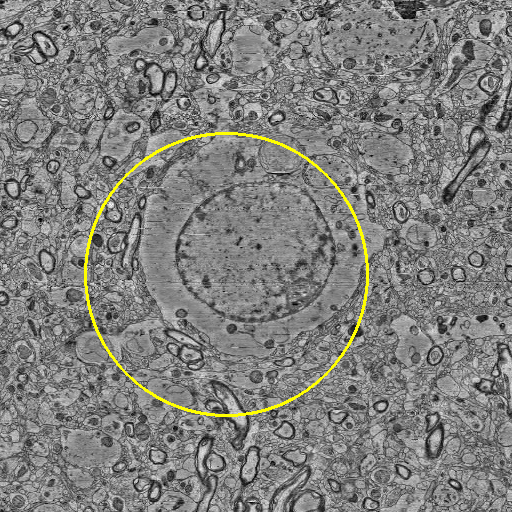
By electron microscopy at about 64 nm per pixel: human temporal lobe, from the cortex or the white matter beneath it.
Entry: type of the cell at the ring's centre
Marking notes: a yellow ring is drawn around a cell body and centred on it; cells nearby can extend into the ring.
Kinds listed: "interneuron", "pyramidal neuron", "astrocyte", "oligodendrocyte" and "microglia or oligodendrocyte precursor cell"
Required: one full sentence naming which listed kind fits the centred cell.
My entry names an astrocyte as the cell whose body the yellow ring centres on.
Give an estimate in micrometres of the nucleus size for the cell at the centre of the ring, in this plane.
Roughly 10 micrometers across, in this plane.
